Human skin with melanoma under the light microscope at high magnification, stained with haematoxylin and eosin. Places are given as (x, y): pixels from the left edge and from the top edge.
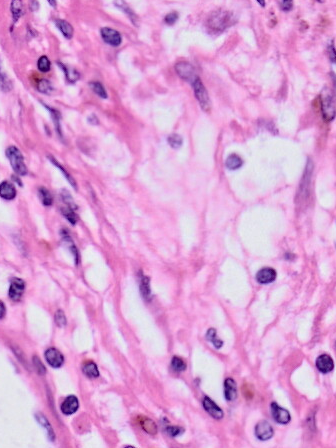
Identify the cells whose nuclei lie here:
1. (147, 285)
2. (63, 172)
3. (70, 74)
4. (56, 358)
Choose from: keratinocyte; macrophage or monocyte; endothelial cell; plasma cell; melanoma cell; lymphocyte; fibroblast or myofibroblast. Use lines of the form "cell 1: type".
cell 1: fibroblast or myofibroblast
cell 2: fibroblast or myofibroblast
cell 3: fibroblast or myofibroblast
cell 4: lymphocyte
